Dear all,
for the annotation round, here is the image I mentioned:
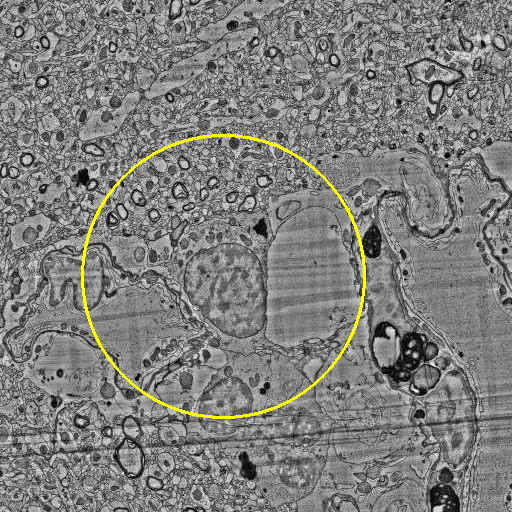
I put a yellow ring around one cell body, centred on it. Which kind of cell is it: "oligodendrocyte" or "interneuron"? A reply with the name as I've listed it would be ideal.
oligodendrocyte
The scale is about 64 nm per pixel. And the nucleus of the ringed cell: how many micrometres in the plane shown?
The ringed cell's nucleus is about 6 micrometres long and 5 micrometres wide in this plane.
